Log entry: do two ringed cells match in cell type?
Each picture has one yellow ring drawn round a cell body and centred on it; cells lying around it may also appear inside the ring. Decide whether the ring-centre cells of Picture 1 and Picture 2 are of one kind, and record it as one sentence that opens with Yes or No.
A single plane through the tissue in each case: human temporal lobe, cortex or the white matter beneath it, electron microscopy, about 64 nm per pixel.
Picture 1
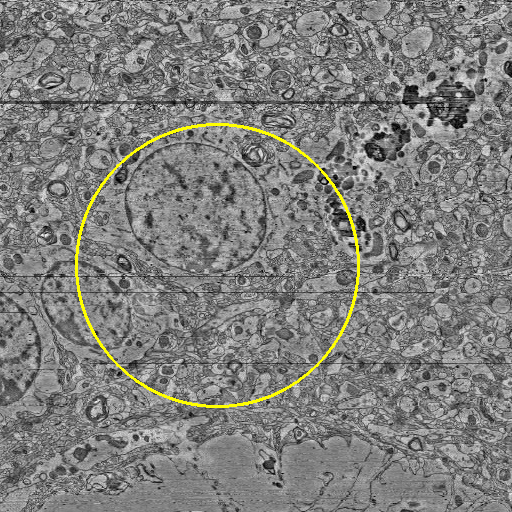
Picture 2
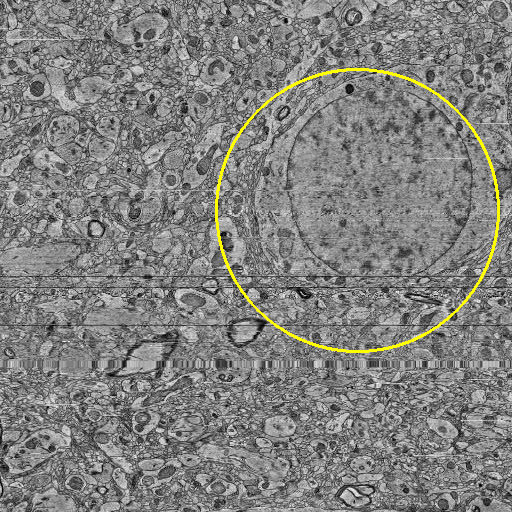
No, the cells at the ring centres of the two pictures belong to two kinds.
